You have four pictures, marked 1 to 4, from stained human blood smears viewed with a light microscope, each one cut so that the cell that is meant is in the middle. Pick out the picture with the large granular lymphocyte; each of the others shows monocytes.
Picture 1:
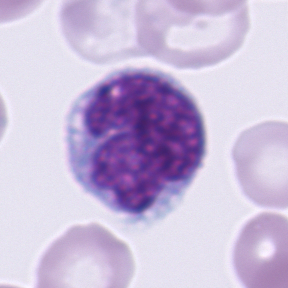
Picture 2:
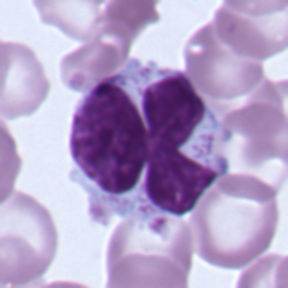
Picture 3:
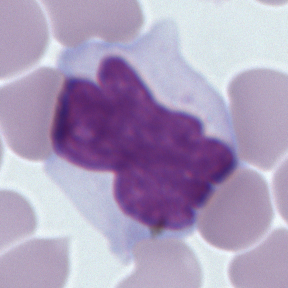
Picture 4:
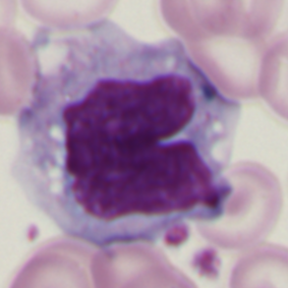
2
